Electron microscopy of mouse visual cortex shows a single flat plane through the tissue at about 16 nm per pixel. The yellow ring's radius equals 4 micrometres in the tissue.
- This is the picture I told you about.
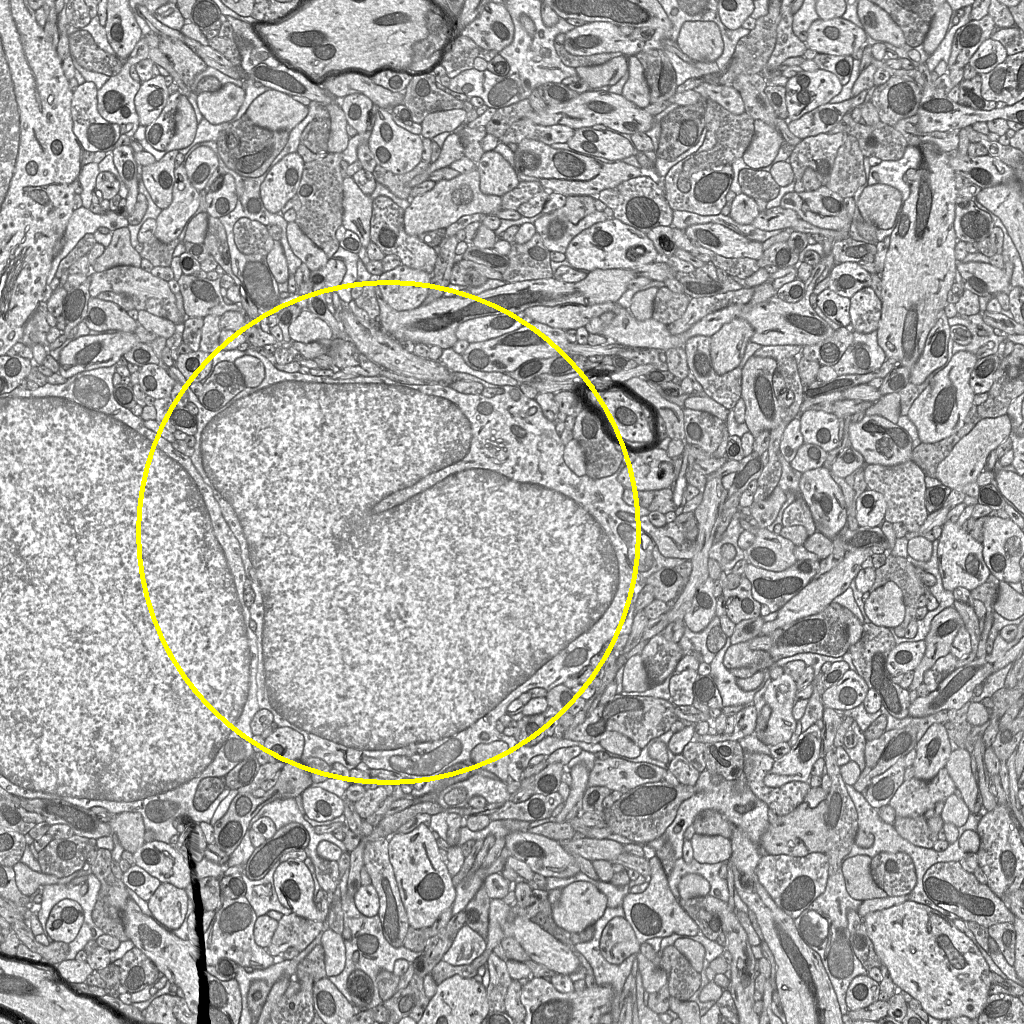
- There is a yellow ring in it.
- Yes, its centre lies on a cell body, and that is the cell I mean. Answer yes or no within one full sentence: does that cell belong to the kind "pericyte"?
No, the cell where the yellow ring's centre lies belongs to a different kind.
